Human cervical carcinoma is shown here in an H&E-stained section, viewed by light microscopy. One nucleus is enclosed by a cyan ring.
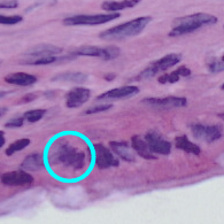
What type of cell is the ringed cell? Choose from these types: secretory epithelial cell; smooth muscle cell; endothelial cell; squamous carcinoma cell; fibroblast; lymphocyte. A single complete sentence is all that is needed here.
What the ringed cell represents is a secretory epithelial cell.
